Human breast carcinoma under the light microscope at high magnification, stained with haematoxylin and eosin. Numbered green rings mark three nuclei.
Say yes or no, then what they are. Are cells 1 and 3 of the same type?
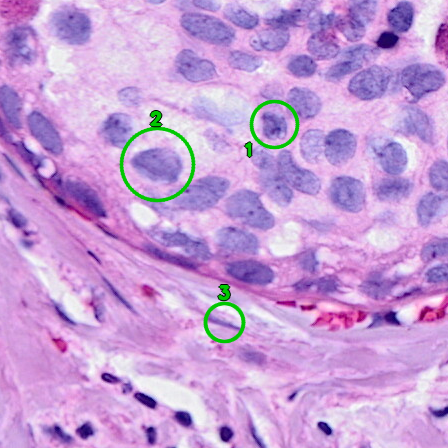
No, cell 1 is a carcinoma cell and cell 3 is a fibroblast.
